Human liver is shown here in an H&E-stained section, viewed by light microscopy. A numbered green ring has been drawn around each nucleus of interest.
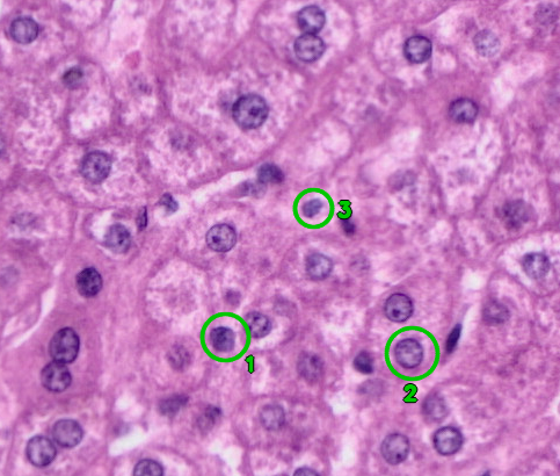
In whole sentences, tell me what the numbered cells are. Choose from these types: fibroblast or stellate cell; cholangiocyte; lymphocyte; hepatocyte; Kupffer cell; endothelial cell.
Cell 1 is an endothelial cell. Cell 2 is a hepatocyte. Cell 3 is a lymphocyte.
